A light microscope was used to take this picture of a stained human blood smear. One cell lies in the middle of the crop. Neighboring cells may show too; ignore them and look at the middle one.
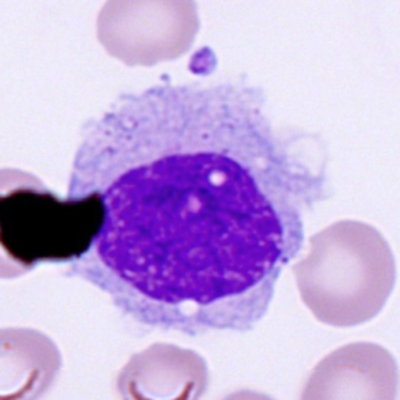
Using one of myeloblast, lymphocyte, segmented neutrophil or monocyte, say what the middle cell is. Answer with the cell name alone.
monocyte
